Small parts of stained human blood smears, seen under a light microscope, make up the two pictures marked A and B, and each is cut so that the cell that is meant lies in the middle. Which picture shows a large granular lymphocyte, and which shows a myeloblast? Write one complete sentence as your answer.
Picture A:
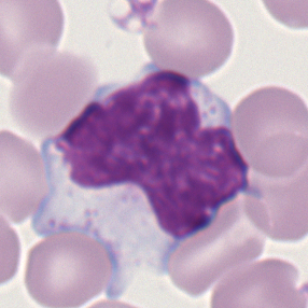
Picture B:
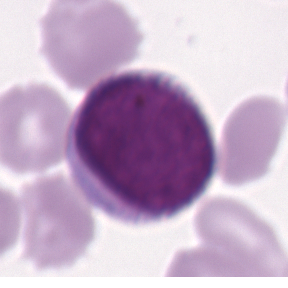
Picture A shows a large granular lymphocyte and picture B shows a myeloblast.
